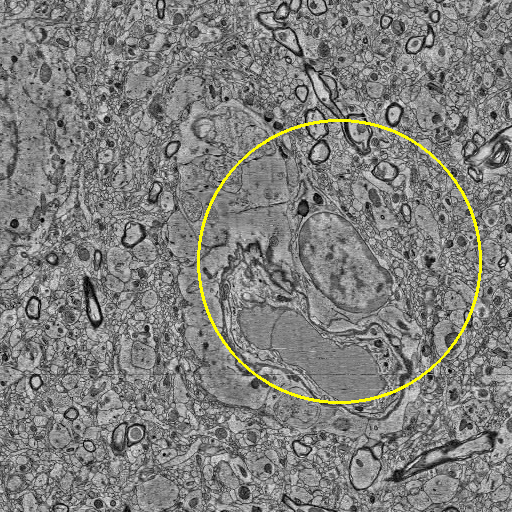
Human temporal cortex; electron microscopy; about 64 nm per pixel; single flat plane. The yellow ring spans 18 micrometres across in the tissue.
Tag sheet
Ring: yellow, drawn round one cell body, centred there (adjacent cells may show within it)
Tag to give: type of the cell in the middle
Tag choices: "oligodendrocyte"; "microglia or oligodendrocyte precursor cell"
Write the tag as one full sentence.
I tag the cell centred in the yellow ring as a microglial cell or oligodendrocyte precursor cell in this picture.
